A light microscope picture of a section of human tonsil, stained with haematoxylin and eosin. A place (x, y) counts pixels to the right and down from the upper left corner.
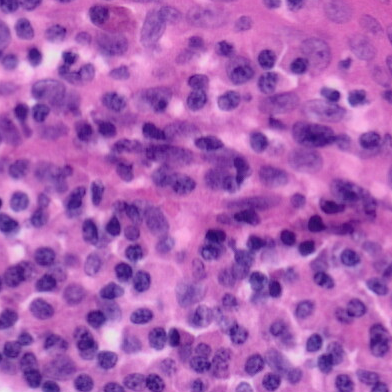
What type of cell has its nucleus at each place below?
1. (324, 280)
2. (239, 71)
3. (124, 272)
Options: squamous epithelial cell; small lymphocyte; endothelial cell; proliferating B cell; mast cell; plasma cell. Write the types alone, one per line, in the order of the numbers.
plasma cell
squamous epithelial cell
plasma cell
